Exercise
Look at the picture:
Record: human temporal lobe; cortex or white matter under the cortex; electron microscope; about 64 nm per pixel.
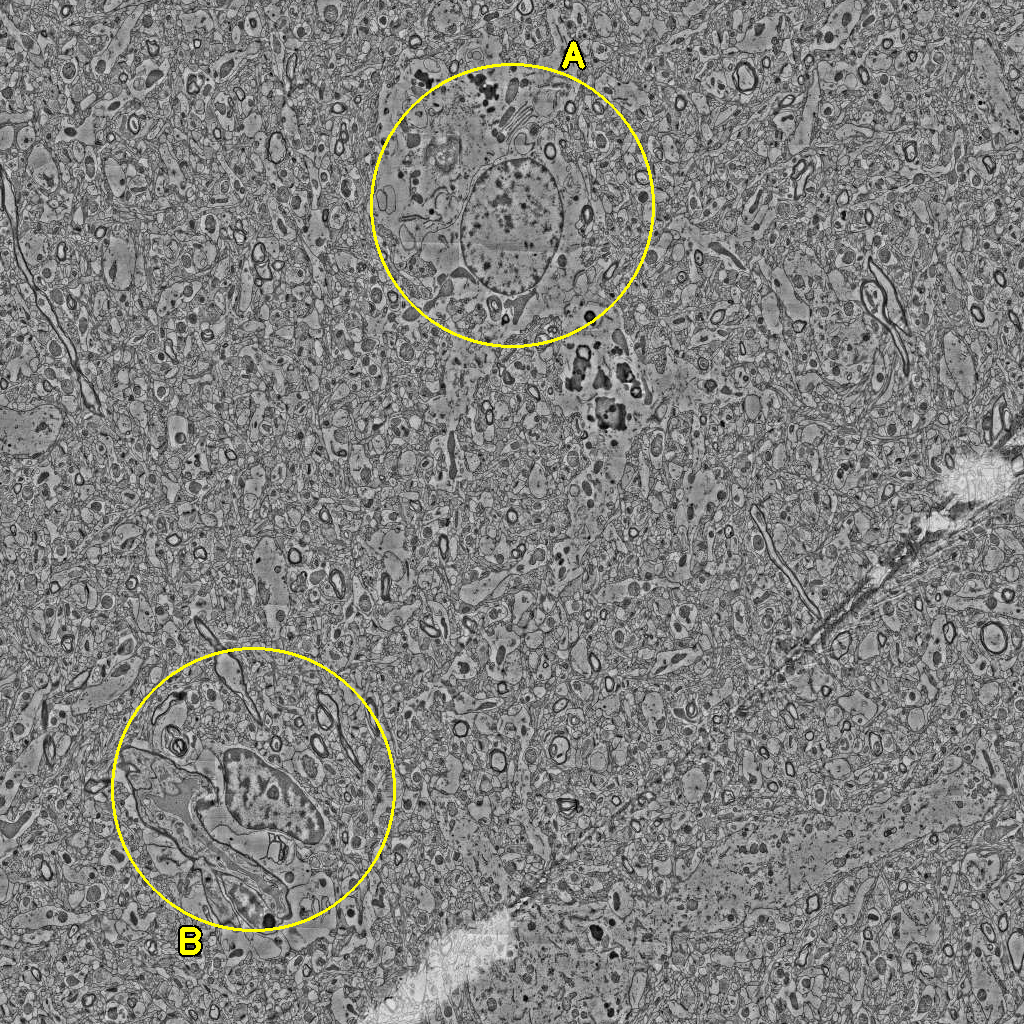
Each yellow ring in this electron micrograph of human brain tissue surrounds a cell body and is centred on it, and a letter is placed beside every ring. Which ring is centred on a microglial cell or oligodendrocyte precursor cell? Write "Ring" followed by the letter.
Ring B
